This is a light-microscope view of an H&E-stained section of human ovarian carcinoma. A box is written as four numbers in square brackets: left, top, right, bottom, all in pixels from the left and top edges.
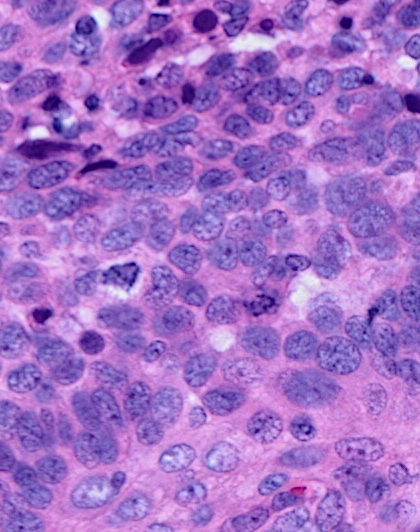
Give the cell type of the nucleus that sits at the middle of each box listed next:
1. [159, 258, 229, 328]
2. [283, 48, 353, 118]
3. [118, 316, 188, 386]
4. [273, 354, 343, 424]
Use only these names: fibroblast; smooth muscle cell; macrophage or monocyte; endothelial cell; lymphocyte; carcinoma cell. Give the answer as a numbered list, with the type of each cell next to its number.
1. carcinoma cell
2. carcinoma cell
3. macrophage or monocyte
4. carcinoma cell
